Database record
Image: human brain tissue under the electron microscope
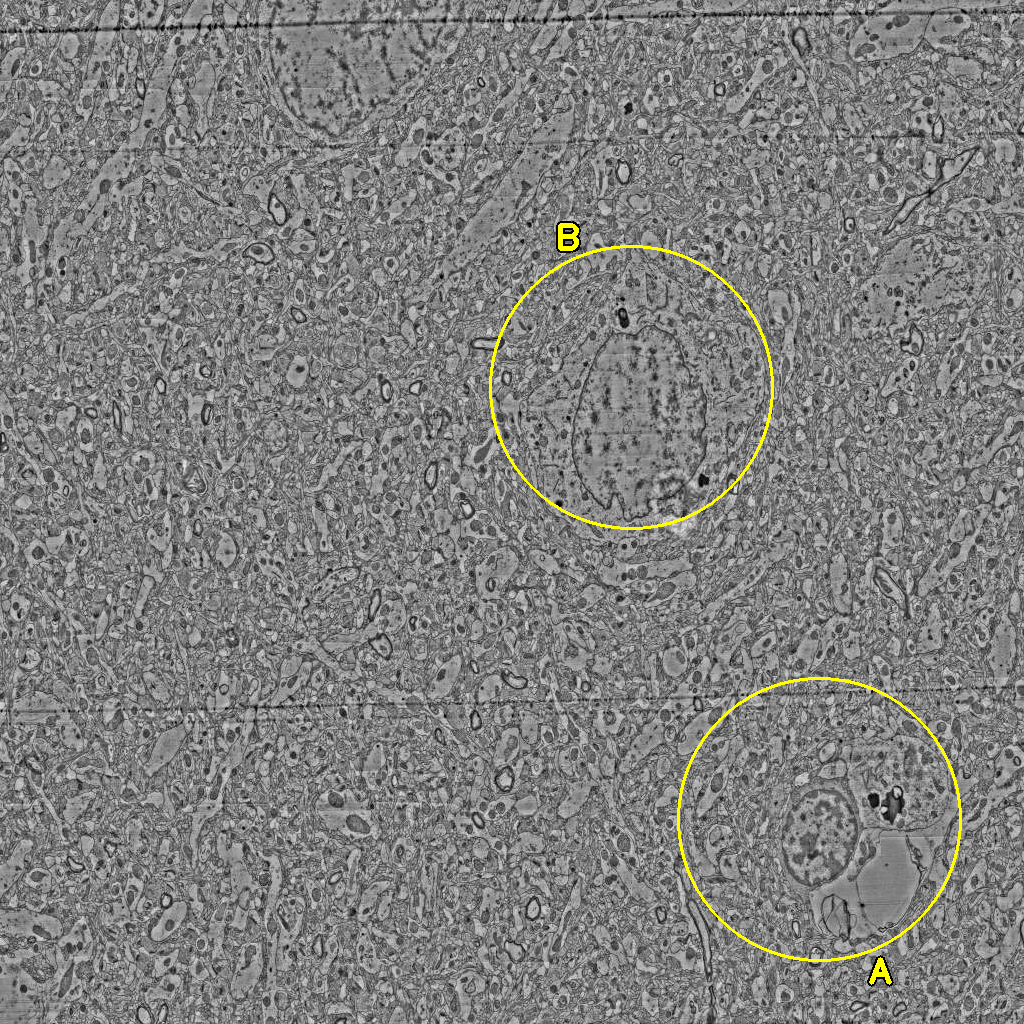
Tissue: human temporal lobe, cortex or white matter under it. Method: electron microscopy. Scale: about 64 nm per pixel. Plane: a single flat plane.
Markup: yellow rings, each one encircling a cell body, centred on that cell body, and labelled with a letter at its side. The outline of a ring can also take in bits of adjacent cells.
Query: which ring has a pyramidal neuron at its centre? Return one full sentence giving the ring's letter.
In this image, that kind of cell lies at the centre of the ring labelled B.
